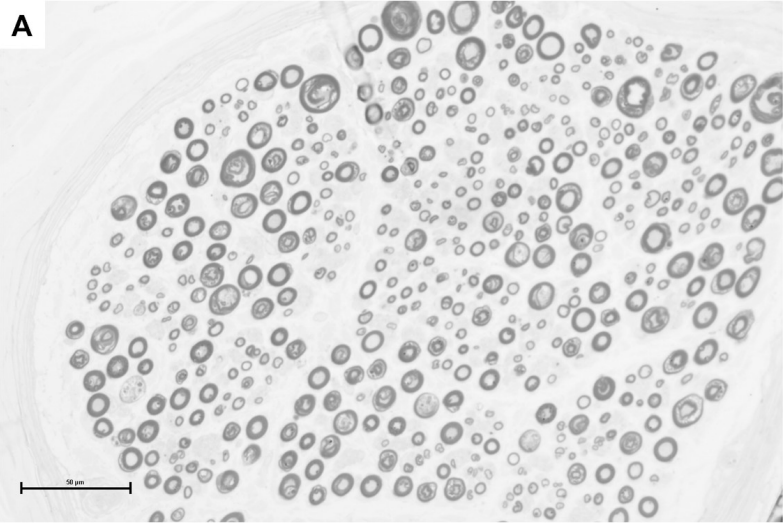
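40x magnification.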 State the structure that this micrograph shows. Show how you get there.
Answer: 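Numerous round profiles with thick dark rims around pale centres fill the field. The ring-shaped profiles range from small to large in diameter. The profiles are closely packed within a sheath-bounded fascicle.
Answer: myelinated axons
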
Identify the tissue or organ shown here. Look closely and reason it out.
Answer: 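Nerve cross-sections. Many circular ring-shaped fibre profiles are cut transversely. The profiles lie inside a rounded bundle bounded by concentric layered sheath tissue.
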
